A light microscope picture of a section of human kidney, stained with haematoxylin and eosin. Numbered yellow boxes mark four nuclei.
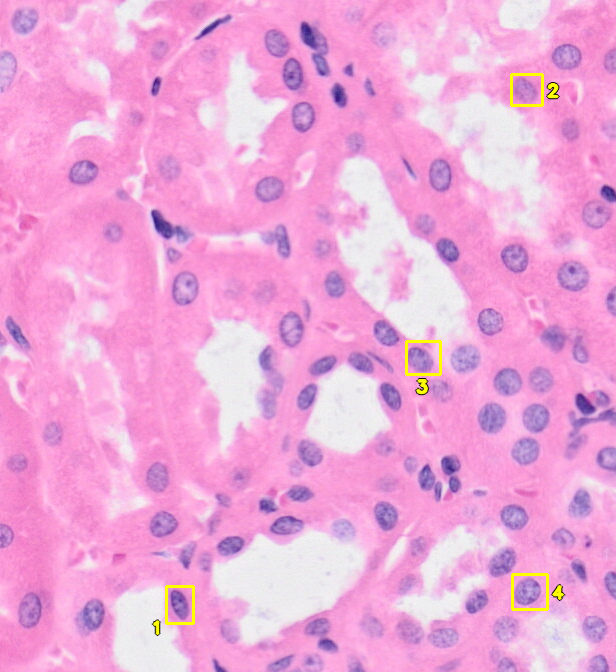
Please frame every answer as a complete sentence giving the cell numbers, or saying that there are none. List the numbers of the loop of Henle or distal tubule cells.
Cells 1, 3 and 4 in the section are typed as loop of Henle or distal tubule cells.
